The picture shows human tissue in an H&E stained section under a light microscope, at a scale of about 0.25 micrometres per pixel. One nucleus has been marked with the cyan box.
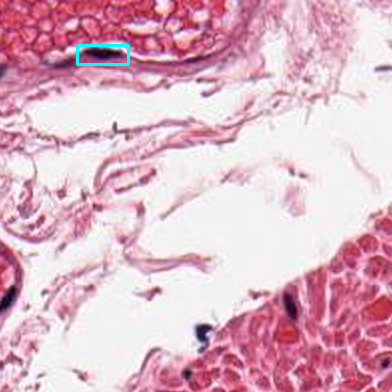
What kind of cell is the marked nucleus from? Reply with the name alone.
endothelial cell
